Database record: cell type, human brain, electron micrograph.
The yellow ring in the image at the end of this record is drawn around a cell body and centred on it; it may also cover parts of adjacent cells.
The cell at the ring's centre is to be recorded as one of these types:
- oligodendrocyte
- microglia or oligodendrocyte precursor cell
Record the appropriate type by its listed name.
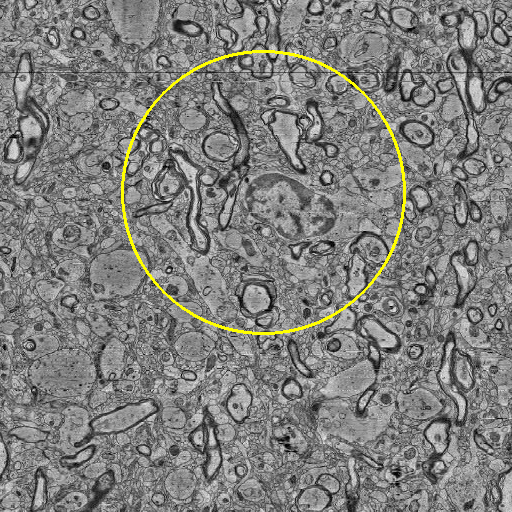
microglia or oligodendrocyte precursor cell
